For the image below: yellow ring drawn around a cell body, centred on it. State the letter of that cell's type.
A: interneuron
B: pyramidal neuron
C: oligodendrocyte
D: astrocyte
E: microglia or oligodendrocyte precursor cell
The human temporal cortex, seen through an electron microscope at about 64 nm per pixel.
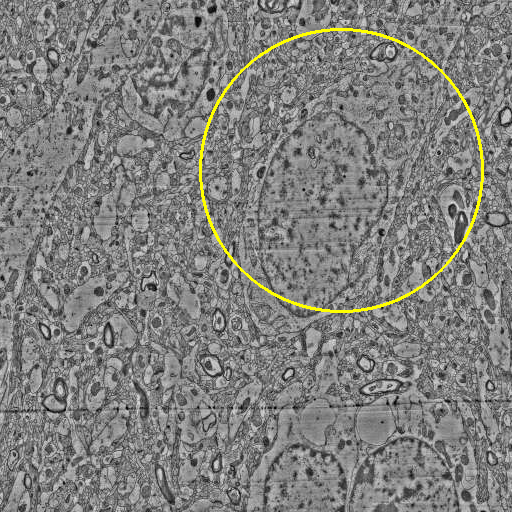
A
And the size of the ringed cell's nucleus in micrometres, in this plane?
In this plane the nucleus measures roughly 13 by 8 micrometers.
